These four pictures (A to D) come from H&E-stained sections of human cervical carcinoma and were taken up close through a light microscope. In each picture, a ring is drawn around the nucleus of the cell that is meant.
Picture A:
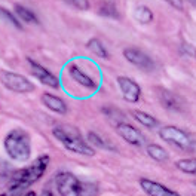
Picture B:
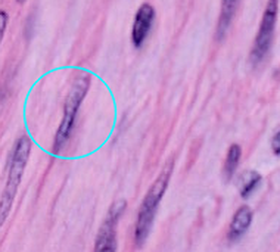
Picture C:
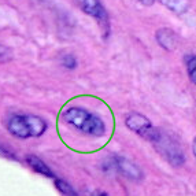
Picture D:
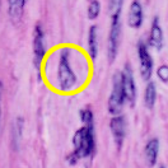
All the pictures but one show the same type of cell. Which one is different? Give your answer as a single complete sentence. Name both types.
The others show smooth muscle cells, but picture D shows a fibroblast.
